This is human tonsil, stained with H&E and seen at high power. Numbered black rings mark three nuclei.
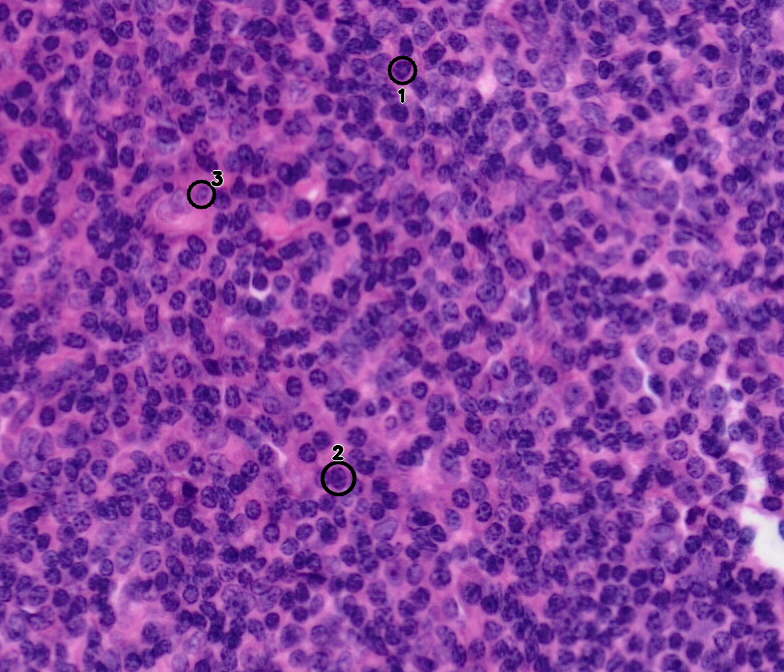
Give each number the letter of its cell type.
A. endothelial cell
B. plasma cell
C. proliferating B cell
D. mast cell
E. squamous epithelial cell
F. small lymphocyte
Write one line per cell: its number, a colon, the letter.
1: B
2: B
3: A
